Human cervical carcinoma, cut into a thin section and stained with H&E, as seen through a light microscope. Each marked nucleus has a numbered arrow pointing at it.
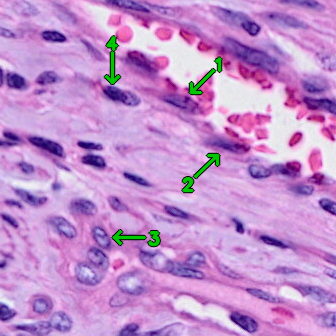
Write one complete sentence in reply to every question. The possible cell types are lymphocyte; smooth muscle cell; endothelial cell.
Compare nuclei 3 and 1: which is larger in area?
At about 1.5 times the area of nucleus 3, nucleus 1 is the larger of the two.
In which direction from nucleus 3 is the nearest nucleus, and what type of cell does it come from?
The nearest nucleus is that of an endothelial cell and lies below nucleus 3.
